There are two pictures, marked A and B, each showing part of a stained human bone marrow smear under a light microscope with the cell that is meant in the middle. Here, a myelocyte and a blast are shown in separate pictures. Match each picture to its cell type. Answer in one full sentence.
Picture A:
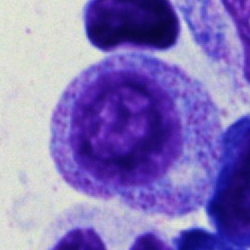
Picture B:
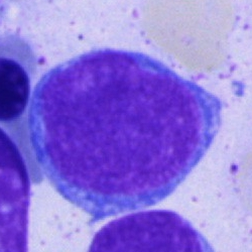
Picture A shows a myelocyte and picture B shows a blast.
